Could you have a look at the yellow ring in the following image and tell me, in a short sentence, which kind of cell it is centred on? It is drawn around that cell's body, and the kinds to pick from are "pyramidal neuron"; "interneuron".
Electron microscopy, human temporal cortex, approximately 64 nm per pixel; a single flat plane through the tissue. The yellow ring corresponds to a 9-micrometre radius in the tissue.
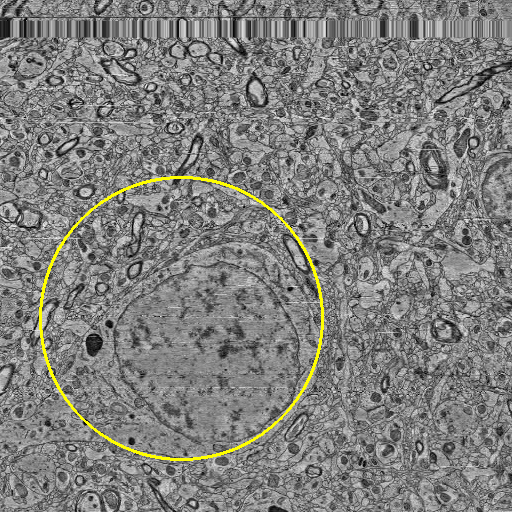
The ring is centred on the body of a pyramidal neuron.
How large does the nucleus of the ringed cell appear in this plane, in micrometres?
About 12 micrometres across in this plane, for the nucleus.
